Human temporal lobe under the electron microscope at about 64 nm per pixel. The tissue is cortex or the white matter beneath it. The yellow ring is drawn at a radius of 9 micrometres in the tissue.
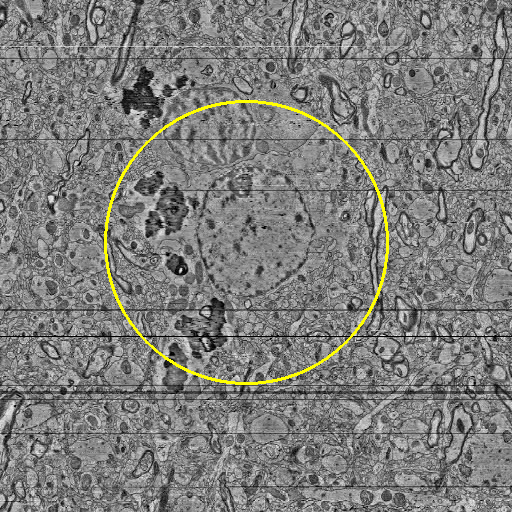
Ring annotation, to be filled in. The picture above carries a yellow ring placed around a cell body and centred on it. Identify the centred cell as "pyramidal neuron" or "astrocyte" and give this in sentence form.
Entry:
The cell in the middle of the ring is an astrocyte.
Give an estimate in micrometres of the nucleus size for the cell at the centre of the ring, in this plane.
The nucleus works out at approximately 9 by 7 micrometres in this plane.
